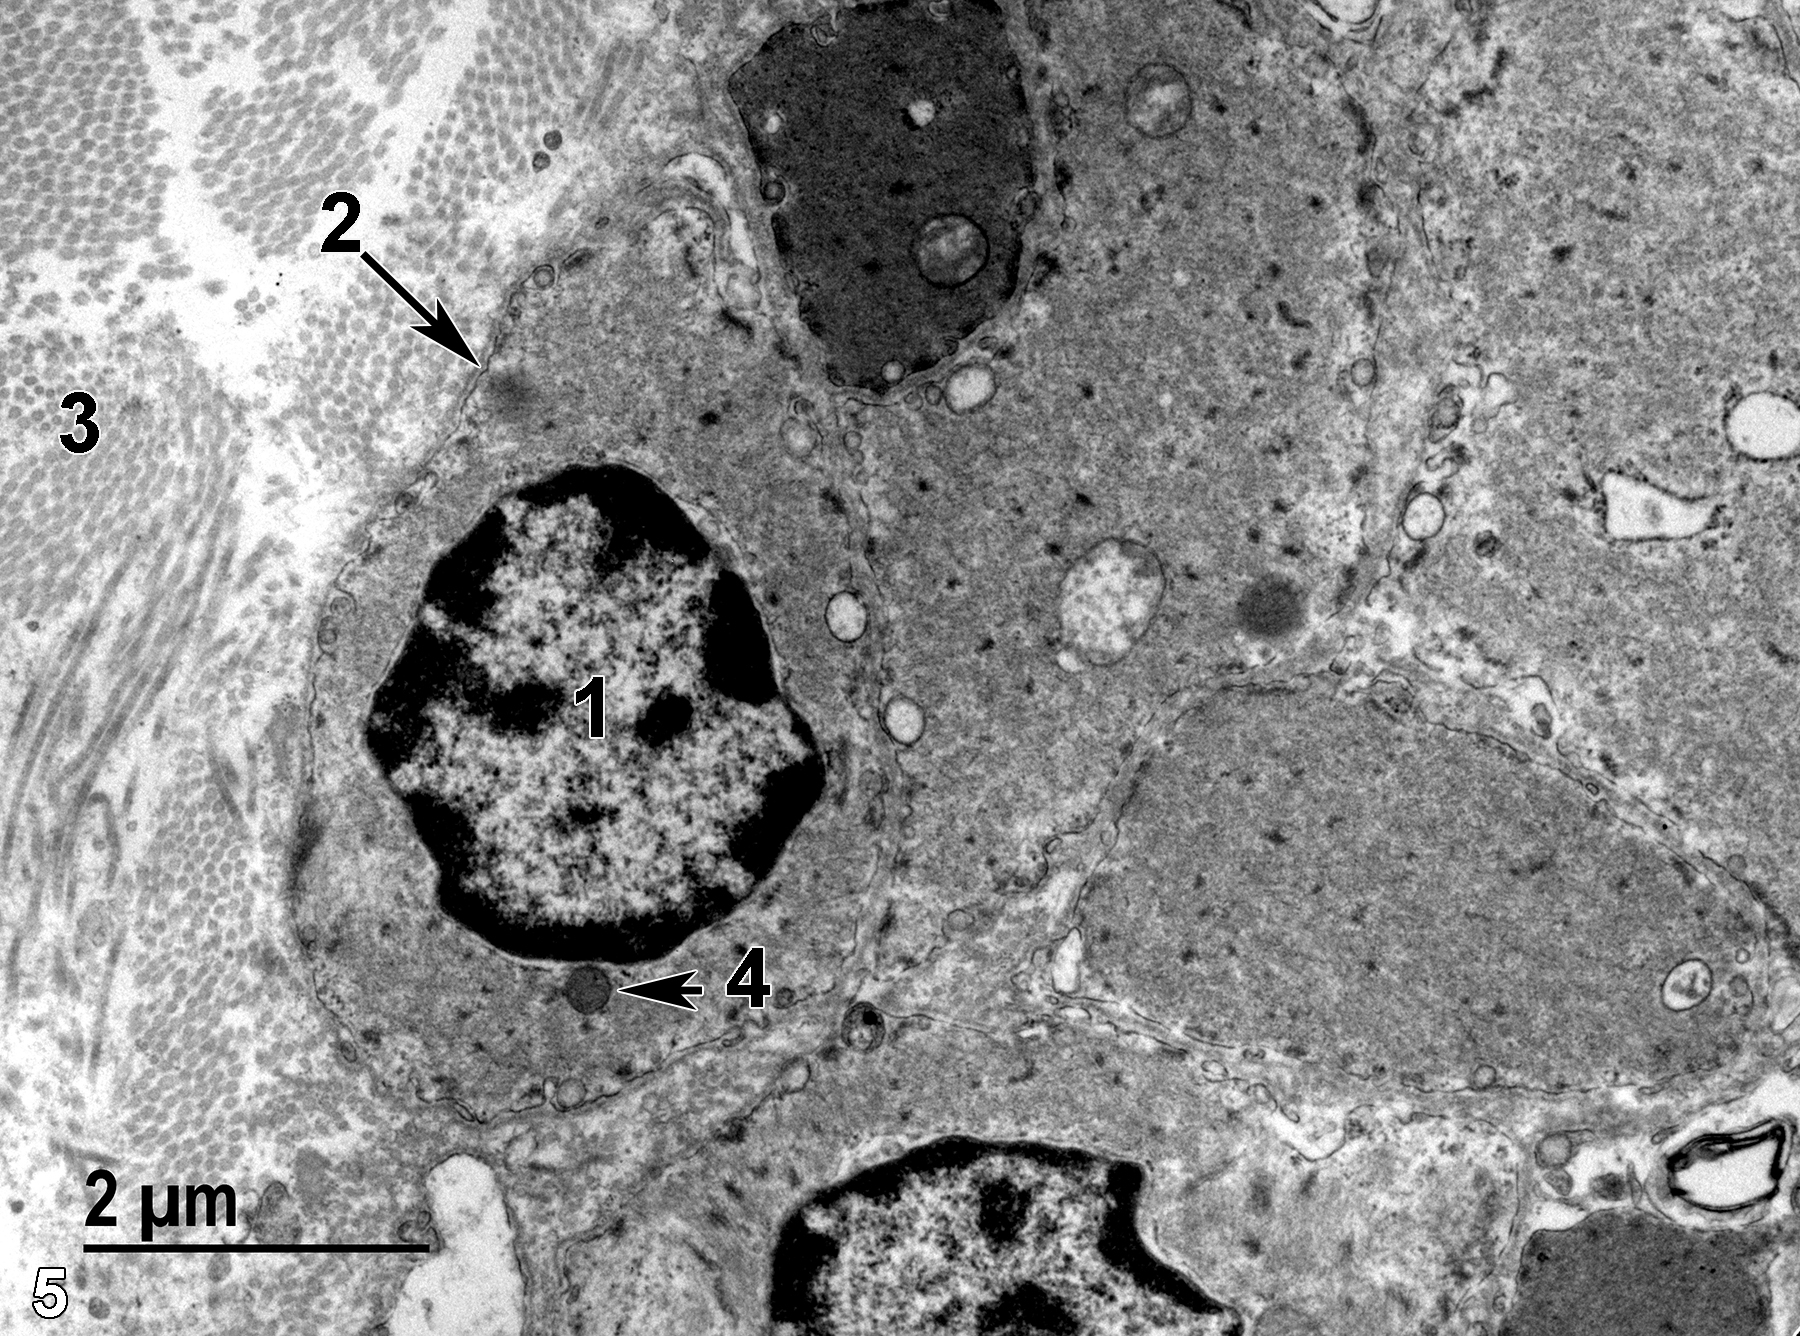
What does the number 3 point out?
At 3: collagen fibrils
